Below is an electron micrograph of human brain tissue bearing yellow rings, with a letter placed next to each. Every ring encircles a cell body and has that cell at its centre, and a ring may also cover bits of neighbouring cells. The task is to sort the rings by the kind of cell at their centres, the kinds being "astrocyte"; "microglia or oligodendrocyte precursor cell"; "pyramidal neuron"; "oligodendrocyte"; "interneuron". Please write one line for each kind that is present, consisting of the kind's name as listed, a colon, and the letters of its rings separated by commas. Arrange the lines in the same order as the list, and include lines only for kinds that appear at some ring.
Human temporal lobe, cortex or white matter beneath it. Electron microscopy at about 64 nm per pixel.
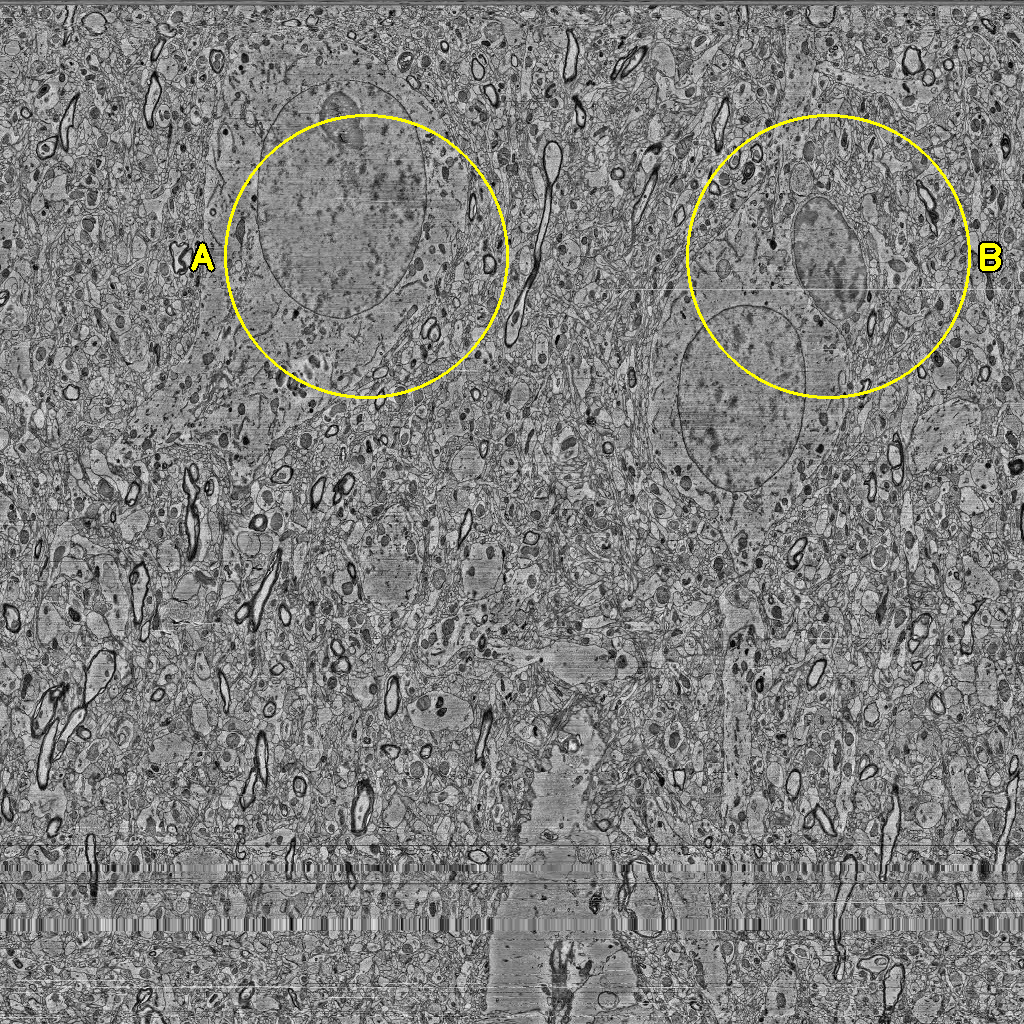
pyramidal neuron: A
oligodendrocyte: B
